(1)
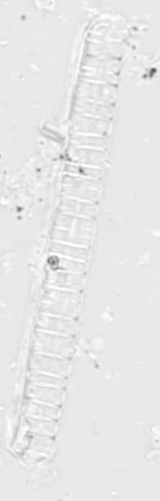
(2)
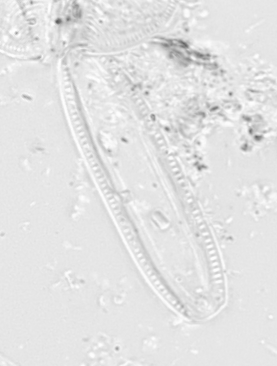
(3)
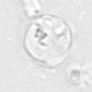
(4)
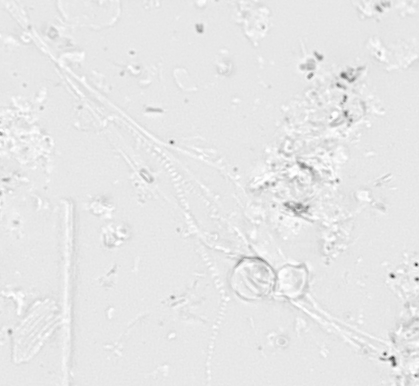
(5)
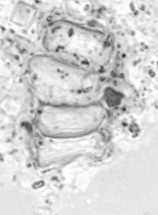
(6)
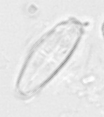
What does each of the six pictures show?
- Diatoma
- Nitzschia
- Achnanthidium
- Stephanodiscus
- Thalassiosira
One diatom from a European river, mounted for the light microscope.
1. Diatoma
2. Nitzschia
3. Thalassiosira
4. Nitzschia
5. Stephanodiscus
6. Achnanthidium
